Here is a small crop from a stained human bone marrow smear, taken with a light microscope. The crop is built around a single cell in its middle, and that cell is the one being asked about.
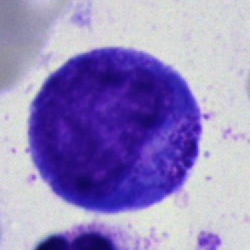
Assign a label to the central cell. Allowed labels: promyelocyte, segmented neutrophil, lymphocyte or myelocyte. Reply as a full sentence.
The middle of this crop is occupied by a promyelocyte.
